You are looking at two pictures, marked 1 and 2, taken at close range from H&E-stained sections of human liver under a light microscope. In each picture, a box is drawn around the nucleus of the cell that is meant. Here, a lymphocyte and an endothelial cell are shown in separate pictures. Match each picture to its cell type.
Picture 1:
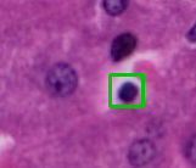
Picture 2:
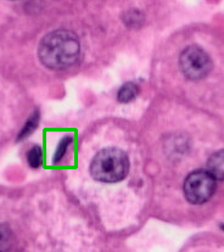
1: lymphocyte
2: endothelial cell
